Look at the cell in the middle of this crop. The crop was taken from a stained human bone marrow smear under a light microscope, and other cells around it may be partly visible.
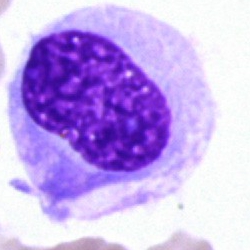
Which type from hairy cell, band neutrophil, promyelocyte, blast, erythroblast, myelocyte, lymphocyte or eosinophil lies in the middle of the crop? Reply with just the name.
hairy cell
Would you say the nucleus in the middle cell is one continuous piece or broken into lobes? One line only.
One compact mass makes up the whole nucleus, round, oval or kidney-shaped.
